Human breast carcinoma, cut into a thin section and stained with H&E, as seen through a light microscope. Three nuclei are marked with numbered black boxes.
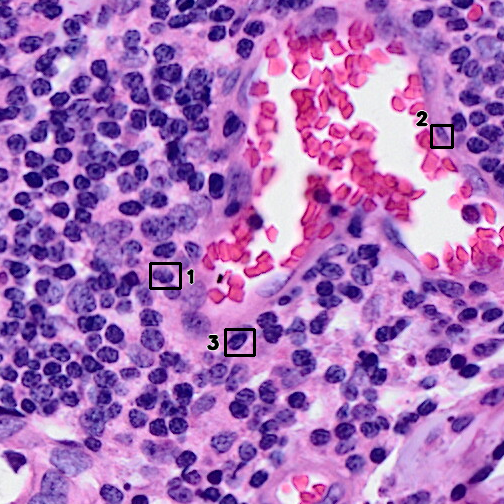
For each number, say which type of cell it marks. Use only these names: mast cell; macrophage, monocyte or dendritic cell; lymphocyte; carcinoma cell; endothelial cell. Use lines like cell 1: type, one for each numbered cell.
cell 1: lymphocyte
cell 2: endothelial cell
cell 3: lymphocyte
